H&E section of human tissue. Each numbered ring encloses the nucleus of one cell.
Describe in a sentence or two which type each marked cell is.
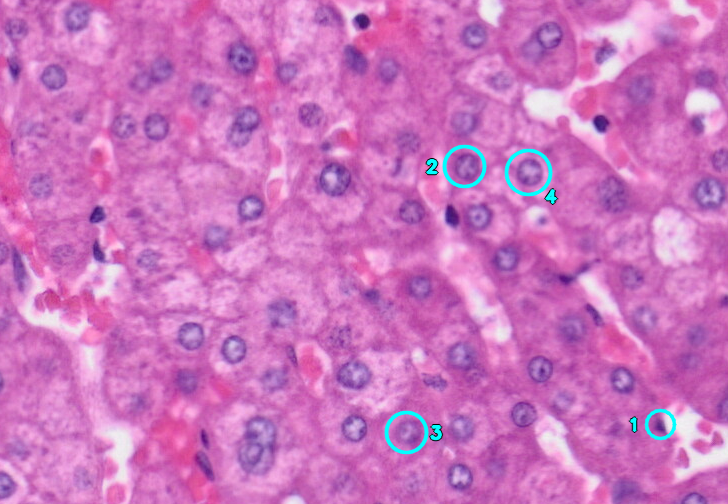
Cell 1 is a fibroblast or stellate cell. Cells 2, 3 and 4 are hepatocytes.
